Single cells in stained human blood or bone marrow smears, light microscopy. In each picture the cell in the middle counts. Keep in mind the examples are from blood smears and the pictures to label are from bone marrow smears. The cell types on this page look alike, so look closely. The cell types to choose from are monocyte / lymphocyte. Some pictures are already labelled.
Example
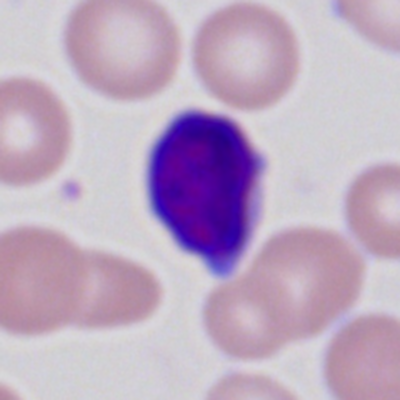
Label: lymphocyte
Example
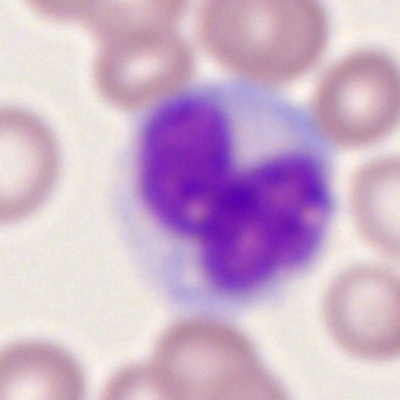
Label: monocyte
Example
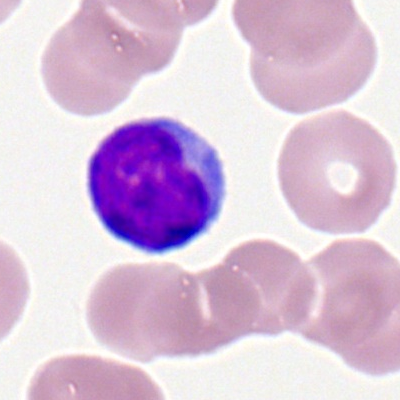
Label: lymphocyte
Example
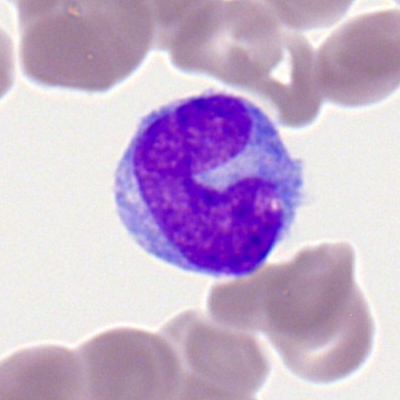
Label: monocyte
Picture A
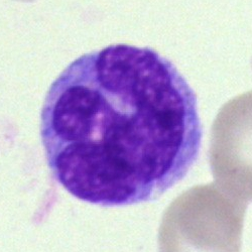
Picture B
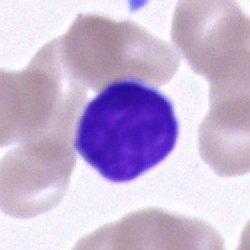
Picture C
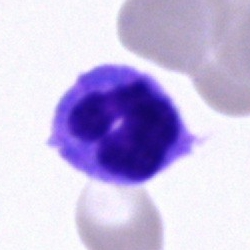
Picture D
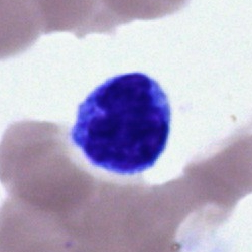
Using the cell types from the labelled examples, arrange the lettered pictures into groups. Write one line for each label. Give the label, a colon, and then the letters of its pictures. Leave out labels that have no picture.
monocyte: A, C
lymphocyte: B, D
